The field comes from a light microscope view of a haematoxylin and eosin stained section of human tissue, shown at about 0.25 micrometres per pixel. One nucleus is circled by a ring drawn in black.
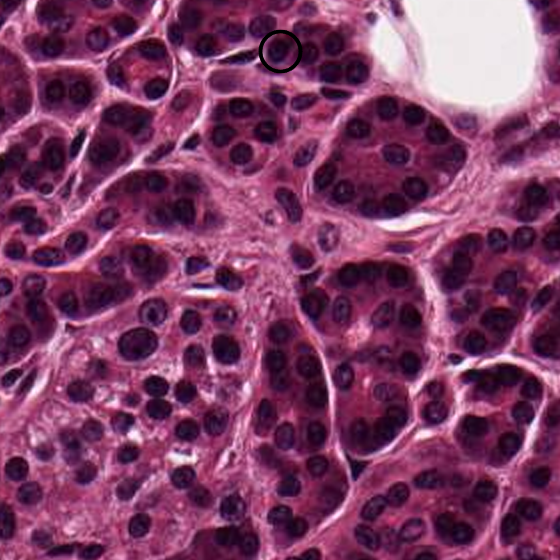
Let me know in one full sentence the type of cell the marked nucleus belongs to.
Indicated by the mark is a nucleus that belongs to a pancreatic acinar cell.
